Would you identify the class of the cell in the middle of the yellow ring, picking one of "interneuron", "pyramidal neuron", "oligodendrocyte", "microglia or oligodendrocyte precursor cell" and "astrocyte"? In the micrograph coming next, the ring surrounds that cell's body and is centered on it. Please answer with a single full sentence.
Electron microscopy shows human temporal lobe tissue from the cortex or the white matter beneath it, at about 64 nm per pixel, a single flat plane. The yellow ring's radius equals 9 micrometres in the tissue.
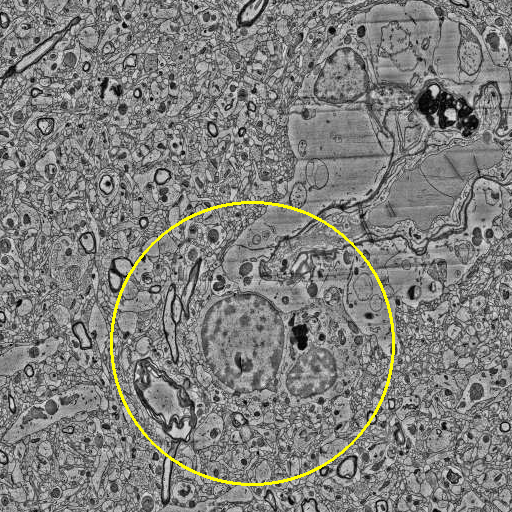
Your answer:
In the micrograph, it is an oligodendrocyte whose body lies at the ring's center.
